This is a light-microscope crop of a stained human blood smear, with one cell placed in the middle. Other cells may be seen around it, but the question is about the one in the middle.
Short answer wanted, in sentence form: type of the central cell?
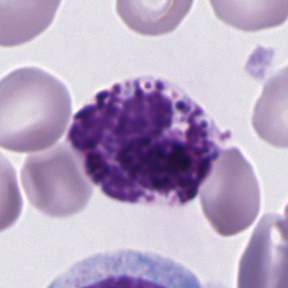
At the center of the crop sits a basophil.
